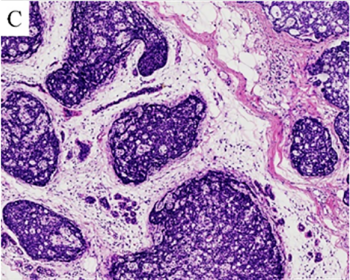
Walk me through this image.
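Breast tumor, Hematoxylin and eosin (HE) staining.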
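Rounded and irregular nests of tightly crowded cells lie scattered in pale, loose, faintly pink stroma. The cells have small, deeply purple nuclei and scant cytoplasm, and some nests show small clear spaces within them.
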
